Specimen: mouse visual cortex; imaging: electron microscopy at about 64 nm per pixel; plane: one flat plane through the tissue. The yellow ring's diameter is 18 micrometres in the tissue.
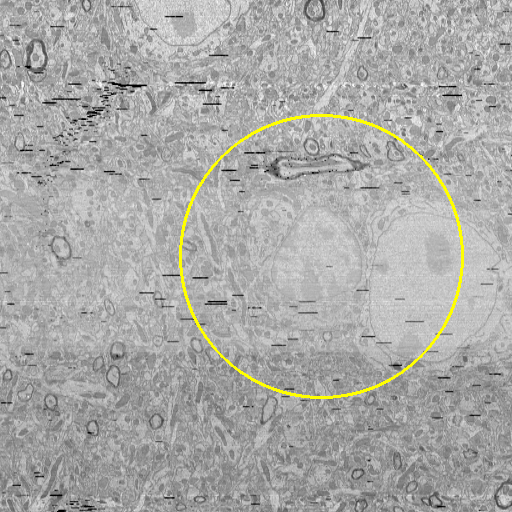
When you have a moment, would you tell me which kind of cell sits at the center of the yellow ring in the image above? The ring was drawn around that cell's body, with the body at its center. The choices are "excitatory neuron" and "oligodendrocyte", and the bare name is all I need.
oligodendrocyte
